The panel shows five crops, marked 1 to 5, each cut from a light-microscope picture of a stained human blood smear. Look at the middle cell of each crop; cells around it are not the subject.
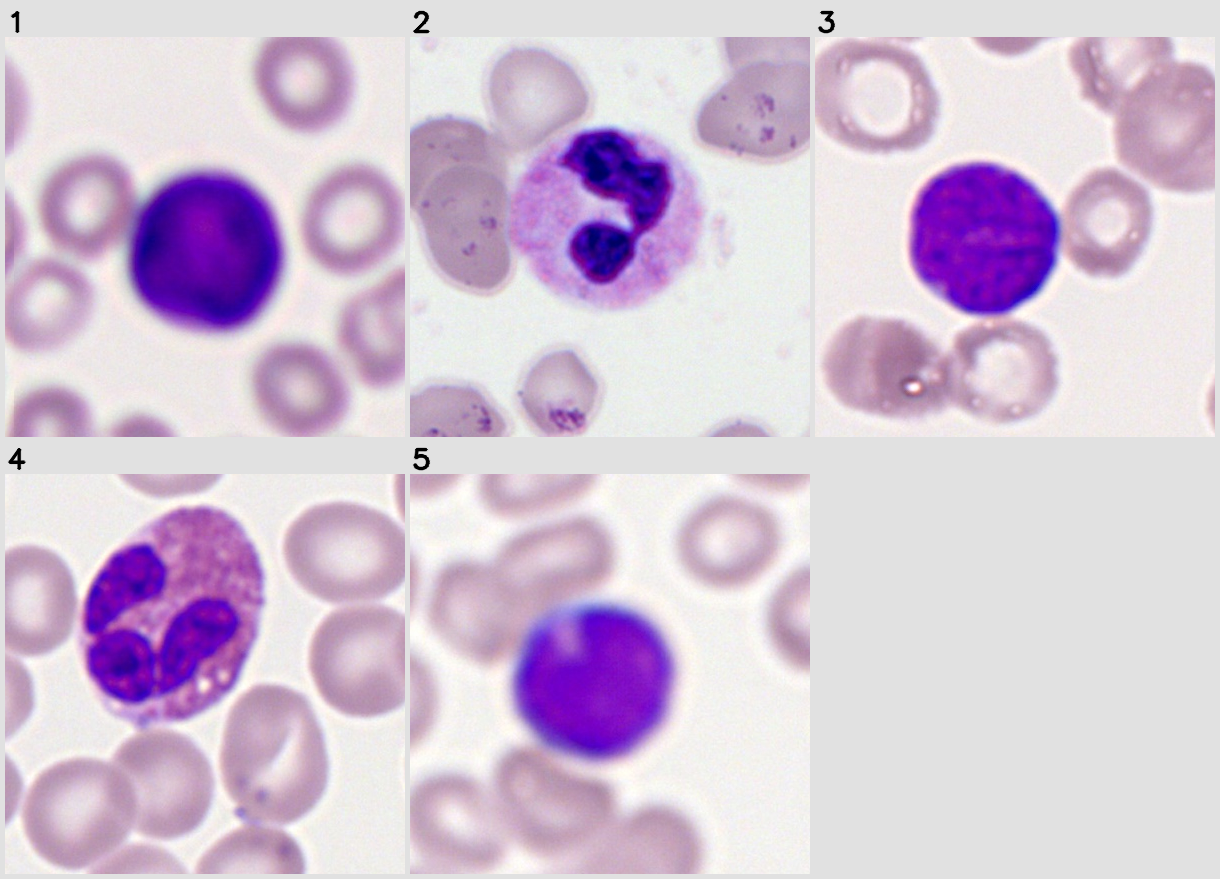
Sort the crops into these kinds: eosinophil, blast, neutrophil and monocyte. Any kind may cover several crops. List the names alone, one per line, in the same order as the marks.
blast
neutrophil
blast
eosinophil
blast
